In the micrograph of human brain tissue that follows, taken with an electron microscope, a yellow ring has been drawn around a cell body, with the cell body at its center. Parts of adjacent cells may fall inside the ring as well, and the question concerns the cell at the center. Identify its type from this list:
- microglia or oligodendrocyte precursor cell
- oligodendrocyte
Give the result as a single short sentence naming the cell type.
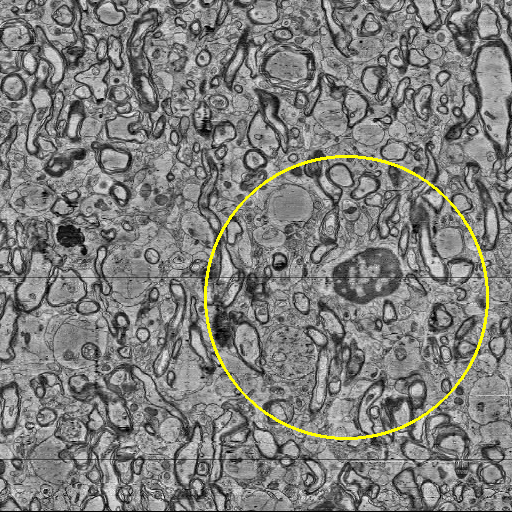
The ring is centered on a microglial cell or oligodendrocyte precursor cell.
